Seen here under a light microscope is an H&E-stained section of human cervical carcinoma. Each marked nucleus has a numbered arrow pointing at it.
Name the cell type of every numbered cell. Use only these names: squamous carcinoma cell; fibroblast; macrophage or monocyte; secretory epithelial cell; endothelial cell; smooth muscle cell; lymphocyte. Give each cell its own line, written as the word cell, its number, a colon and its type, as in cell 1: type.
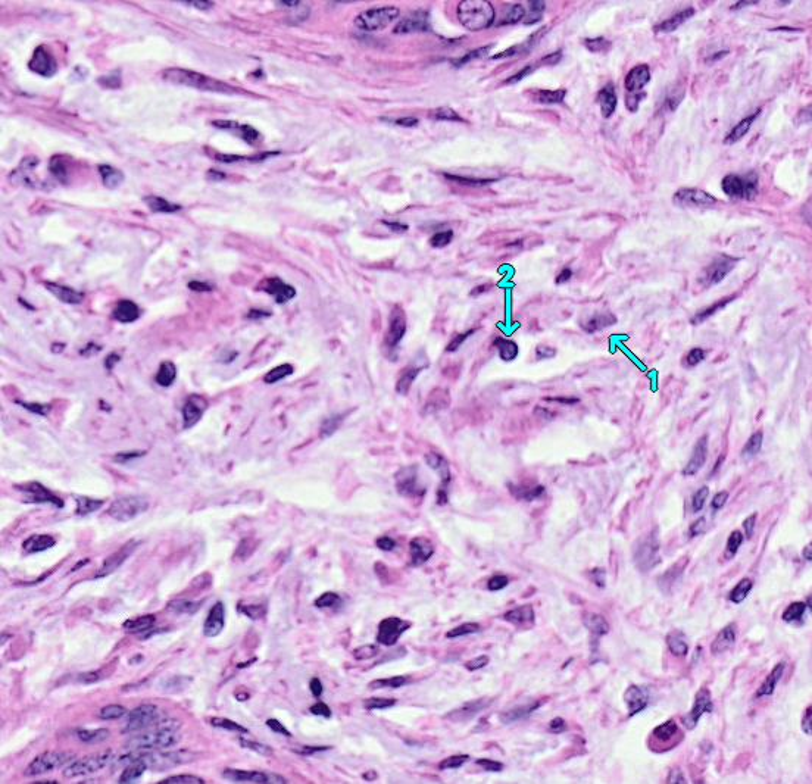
cell 1: fibroblast
cell 2: lymphocyte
